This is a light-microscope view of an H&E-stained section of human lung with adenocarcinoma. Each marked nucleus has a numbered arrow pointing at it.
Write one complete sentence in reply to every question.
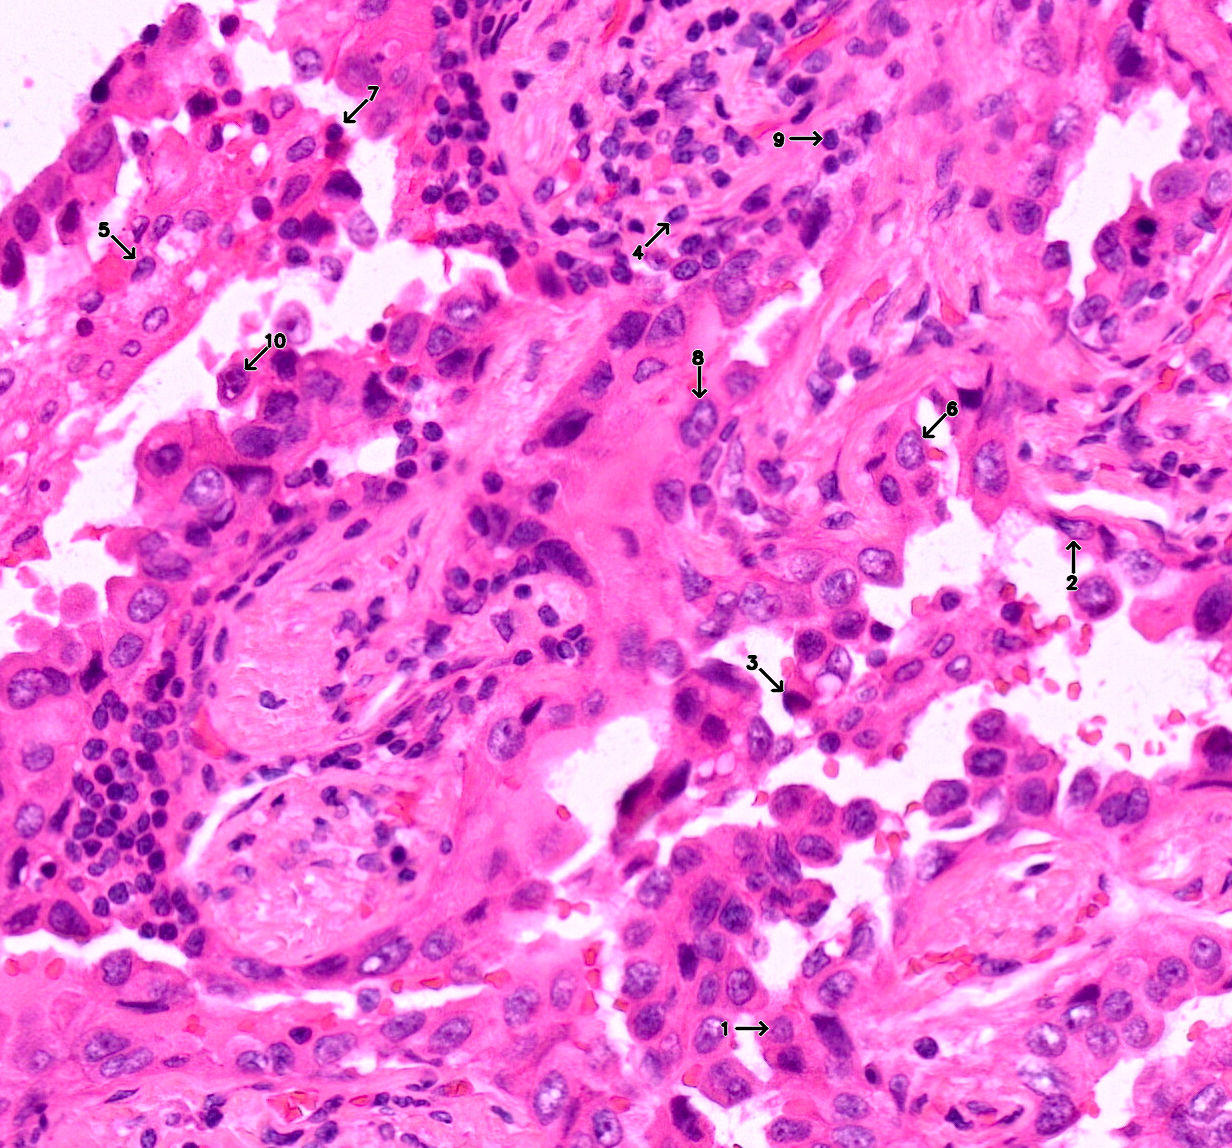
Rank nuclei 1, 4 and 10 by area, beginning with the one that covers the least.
Smallest first, the nuclei run 4, 1, 10.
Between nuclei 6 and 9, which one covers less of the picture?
It is nucleus 9; nucleus 6 has about 3 times its area.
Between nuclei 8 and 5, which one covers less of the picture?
It is nucleus 5; nucleus 8 has about 3 times its area.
